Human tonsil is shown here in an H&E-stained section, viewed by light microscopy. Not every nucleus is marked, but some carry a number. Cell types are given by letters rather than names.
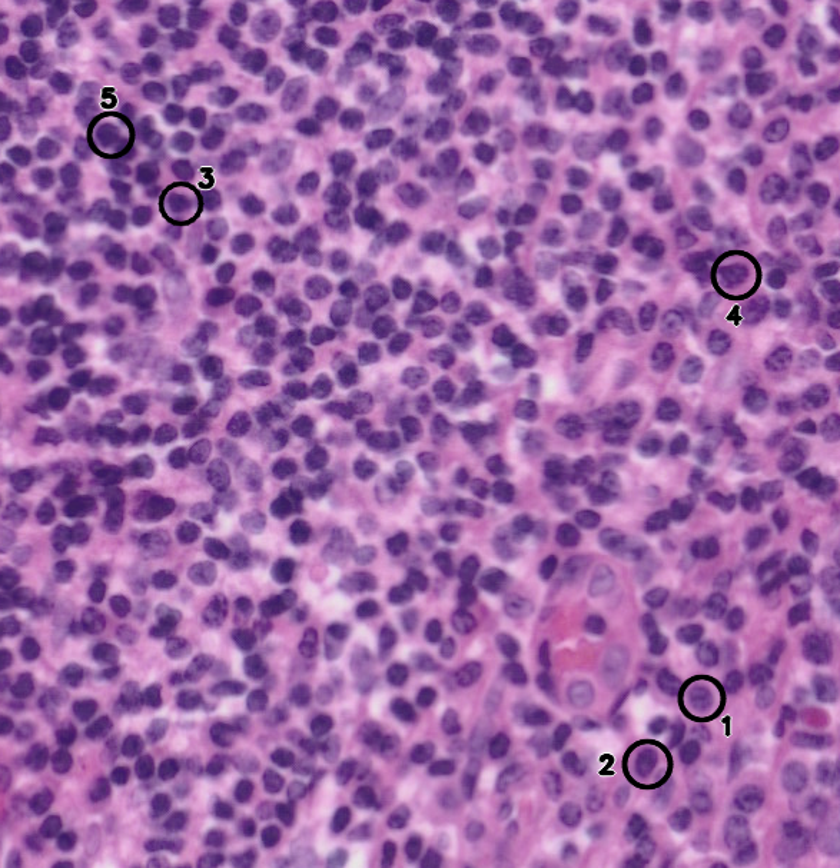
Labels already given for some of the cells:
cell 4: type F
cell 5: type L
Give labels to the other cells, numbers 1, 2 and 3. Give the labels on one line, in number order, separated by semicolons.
type F; type F; type L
